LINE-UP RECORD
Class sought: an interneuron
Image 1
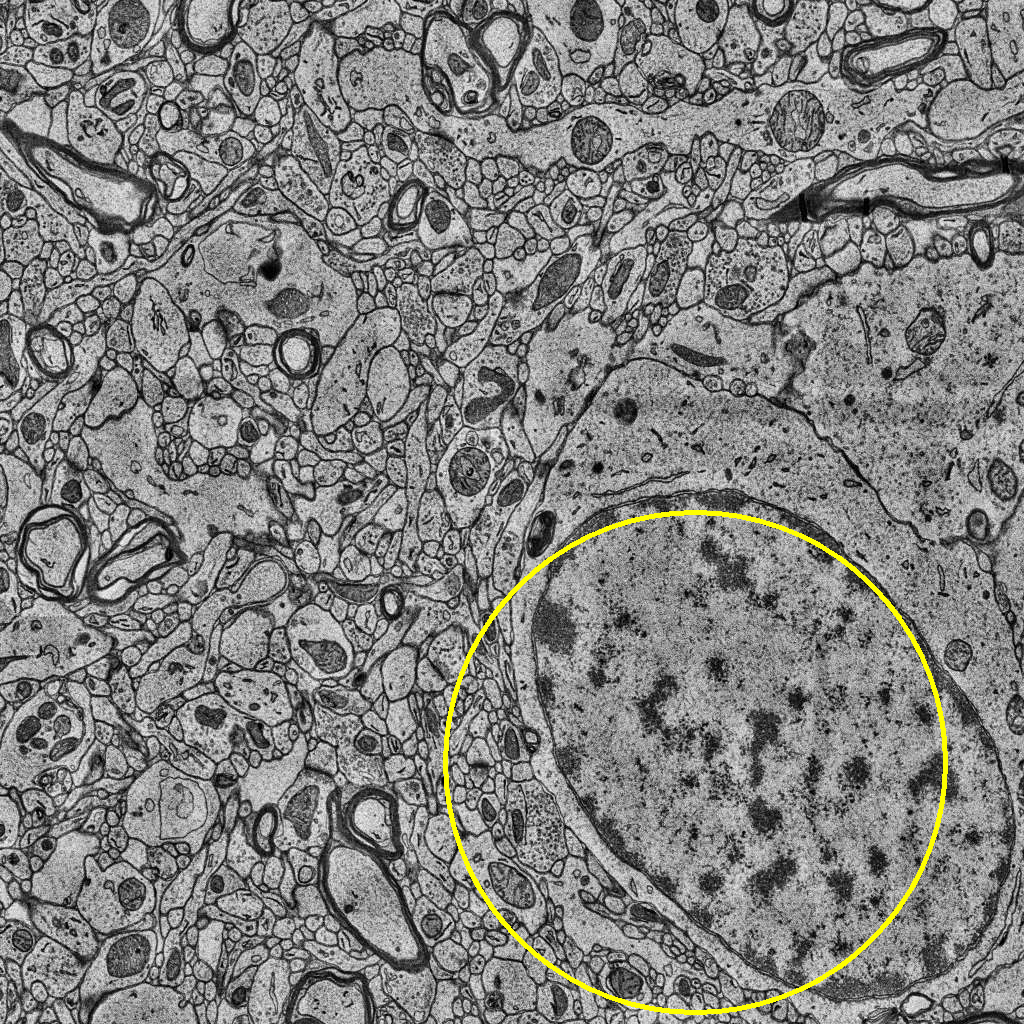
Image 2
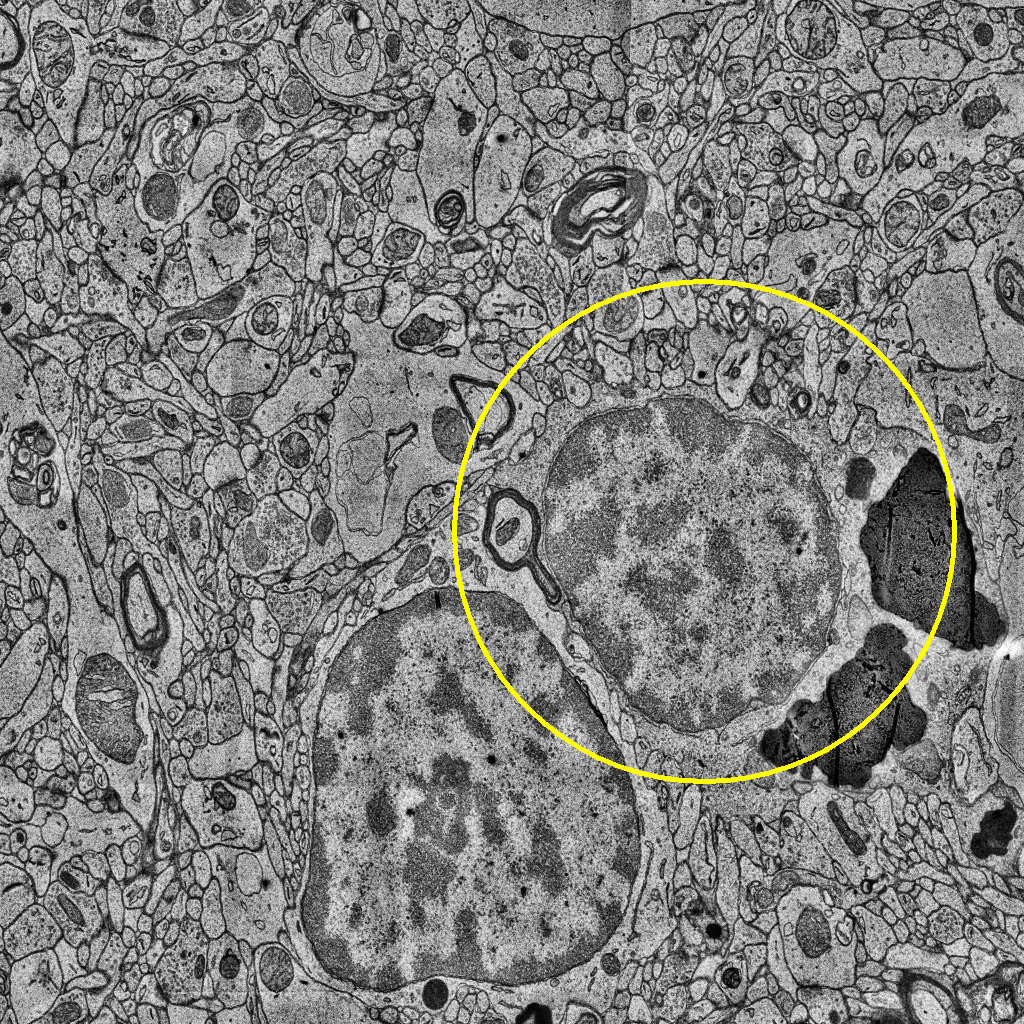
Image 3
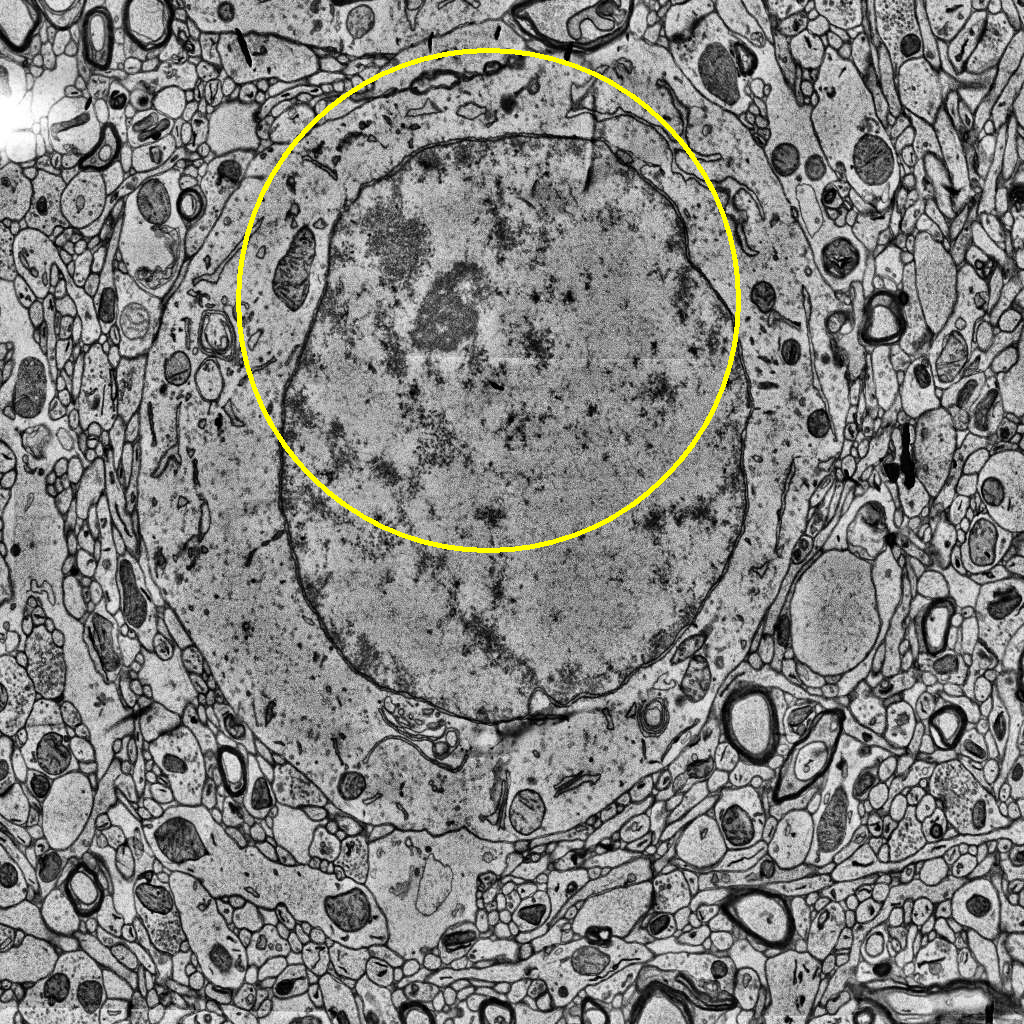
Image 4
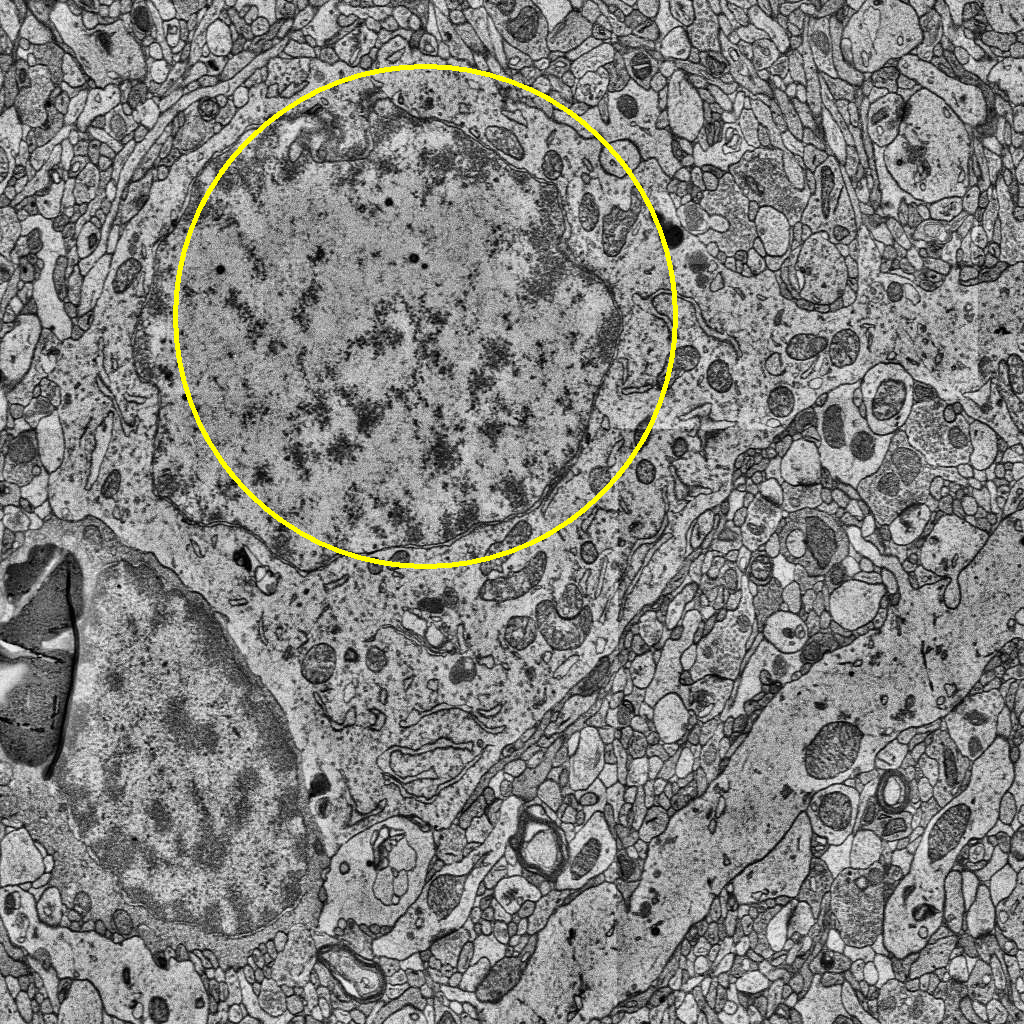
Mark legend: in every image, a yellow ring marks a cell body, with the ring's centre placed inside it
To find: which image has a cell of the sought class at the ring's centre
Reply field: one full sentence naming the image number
The cell lying at the ring's centre in image 4 belongs to the class sought.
